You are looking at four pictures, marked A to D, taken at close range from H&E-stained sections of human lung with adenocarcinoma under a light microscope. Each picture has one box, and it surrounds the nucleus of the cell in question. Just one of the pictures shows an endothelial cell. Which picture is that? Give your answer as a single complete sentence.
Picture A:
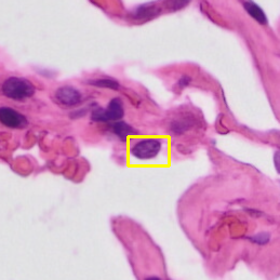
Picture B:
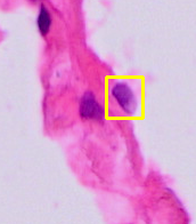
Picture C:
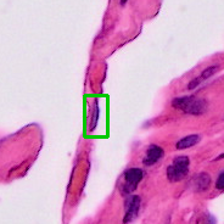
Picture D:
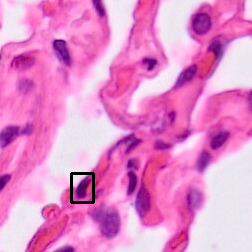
The picture with the endothelial cell is D.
